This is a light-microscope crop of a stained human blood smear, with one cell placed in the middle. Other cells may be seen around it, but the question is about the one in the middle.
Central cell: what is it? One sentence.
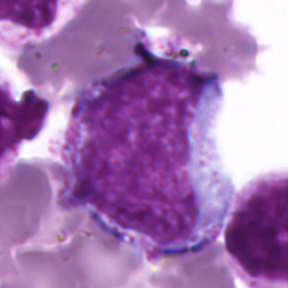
The cell in the middle of this crop is a promyelocyte.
